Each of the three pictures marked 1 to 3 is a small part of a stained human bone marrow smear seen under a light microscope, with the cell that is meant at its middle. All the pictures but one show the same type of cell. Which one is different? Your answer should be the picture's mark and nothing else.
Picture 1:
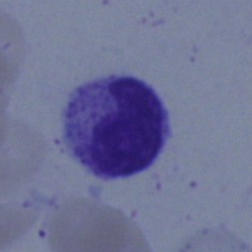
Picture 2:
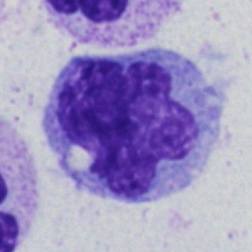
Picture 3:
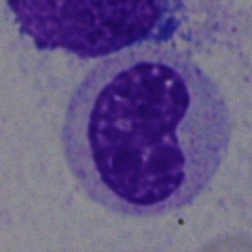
2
